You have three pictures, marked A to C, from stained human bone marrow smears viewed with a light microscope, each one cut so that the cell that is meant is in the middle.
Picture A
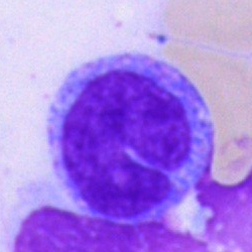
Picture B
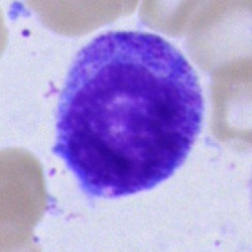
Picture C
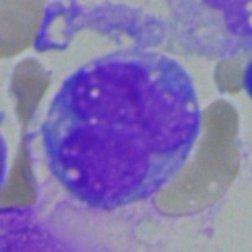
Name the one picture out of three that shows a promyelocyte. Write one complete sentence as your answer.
The cell in picture B is the promyelocyte.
